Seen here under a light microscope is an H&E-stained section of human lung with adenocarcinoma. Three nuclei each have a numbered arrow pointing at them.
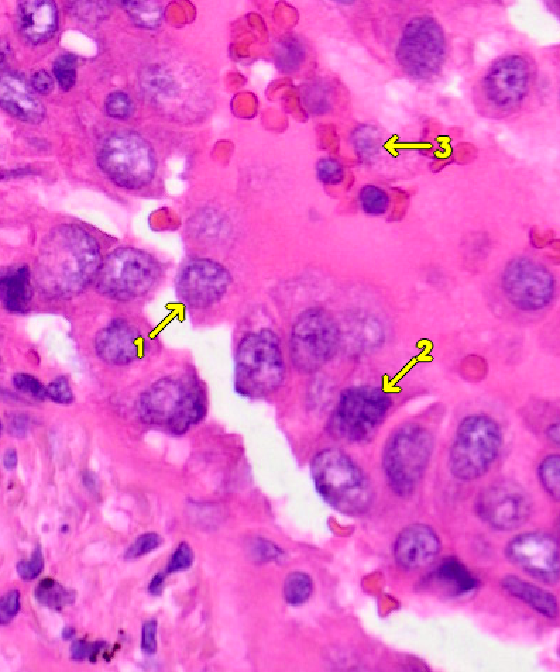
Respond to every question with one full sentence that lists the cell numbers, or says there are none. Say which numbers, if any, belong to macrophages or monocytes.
Only cell 3 qualifies as a macrophage or monocyte among the numbered cells.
